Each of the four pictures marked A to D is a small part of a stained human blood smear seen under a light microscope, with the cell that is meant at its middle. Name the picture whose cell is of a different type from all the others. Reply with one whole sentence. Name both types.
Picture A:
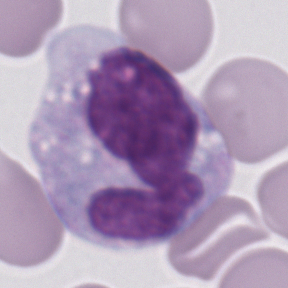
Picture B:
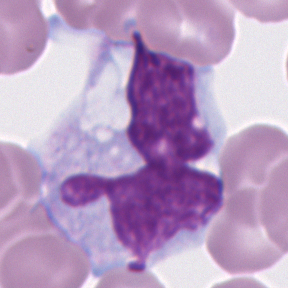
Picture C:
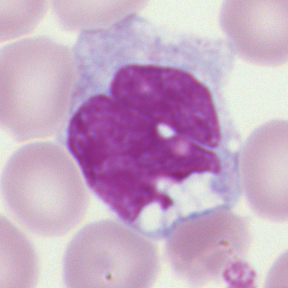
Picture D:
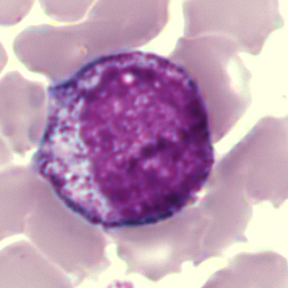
The different one is picture D; it shows a myelocyte, whereas all the others show monocytes.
